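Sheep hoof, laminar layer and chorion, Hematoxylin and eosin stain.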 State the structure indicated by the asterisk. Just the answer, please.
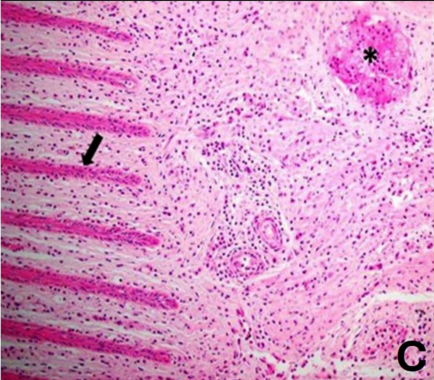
Thrombi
